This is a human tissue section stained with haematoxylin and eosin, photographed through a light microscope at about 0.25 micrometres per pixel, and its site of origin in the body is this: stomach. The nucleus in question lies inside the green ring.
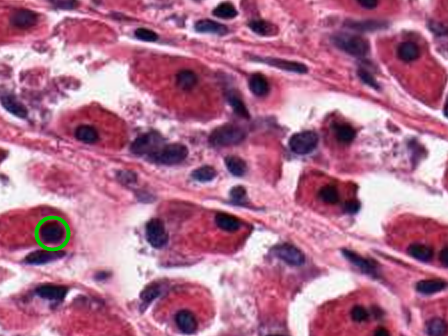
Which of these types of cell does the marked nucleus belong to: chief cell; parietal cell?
parietal cell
